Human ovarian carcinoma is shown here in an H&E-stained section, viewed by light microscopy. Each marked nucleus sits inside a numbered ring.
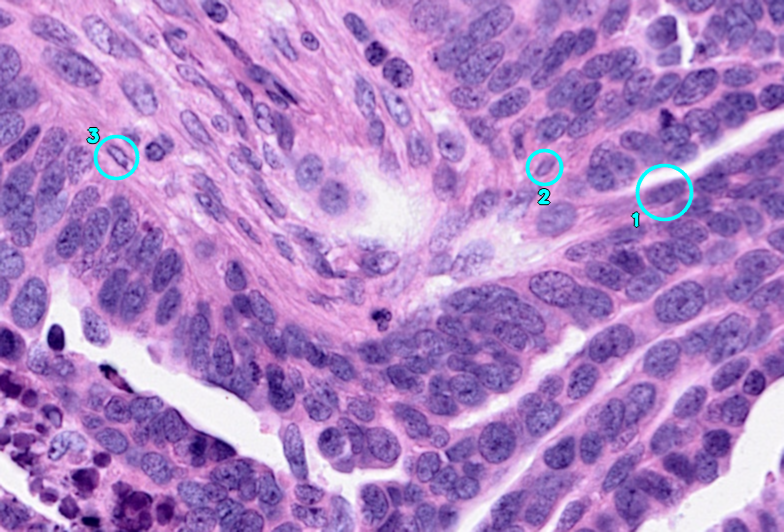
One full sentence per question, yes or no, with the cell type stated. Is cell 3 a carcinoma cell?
No, number 3 points to a fibroblast and not to a carcinoma cell.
